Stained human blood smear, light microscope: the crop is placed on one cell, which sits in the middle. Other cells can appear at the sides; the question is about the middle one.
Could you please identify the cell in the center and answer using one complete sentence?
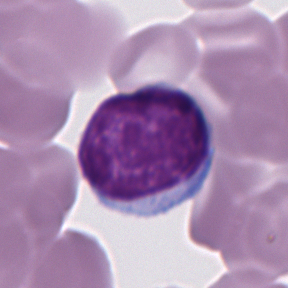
The cell in the middle of this crop is a typical lymphocyte.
